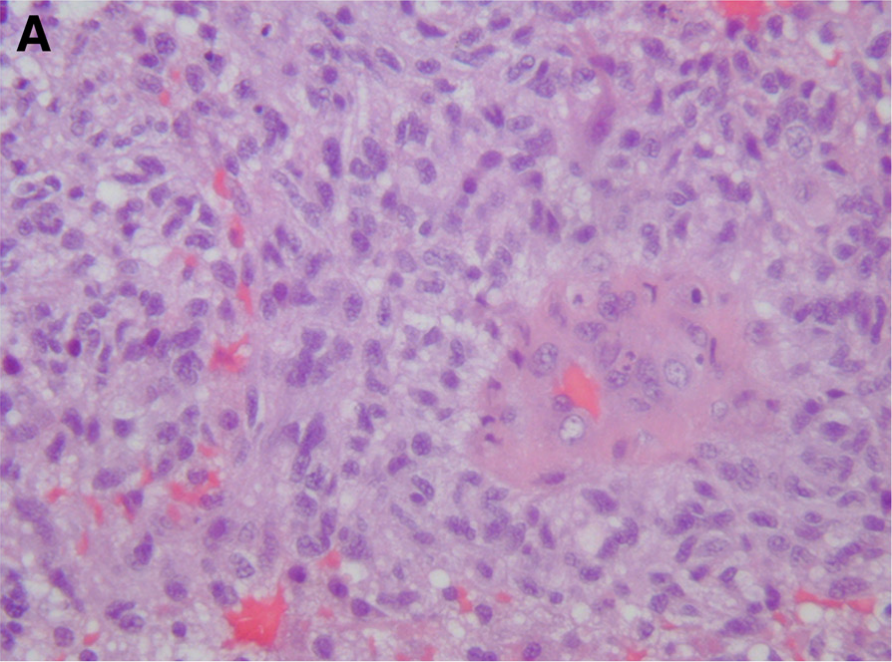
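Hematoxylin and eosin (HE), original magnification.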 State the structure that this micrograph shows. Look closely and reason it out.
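Glomeruloid vascular proliferation. Right of centre, a rounded pink tuft of cells surrounds a small lumen with red blood cells.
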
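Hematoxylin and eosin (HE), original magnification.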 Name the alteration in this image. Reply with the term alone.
highly cellular tumour tissue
